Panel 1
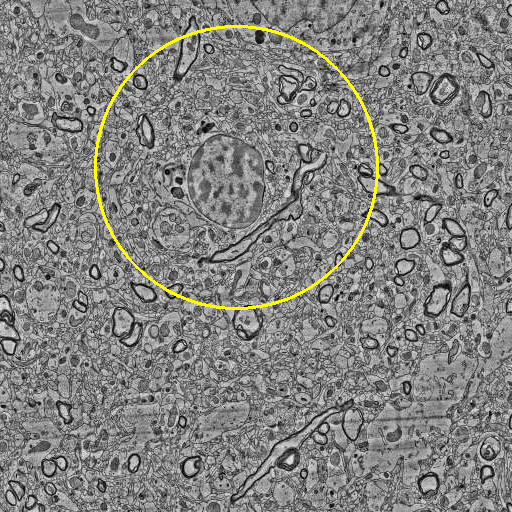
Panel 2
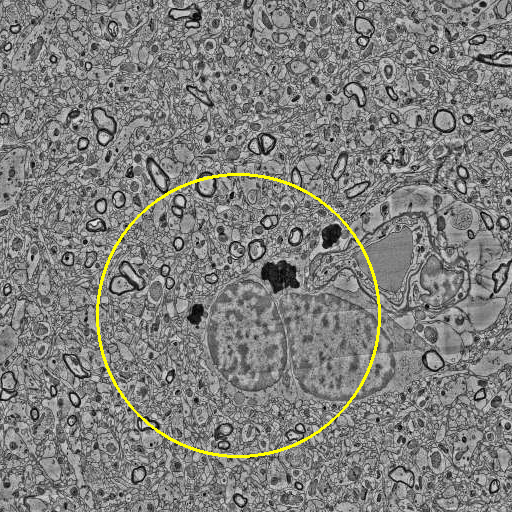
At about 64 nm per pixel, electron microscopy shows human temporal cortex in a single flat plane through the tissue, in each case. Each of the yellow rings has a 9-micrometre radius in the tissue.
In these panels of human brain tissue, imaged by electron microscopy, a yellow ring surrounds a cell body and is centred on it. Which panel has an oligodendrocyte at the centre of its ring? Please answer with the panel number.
2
